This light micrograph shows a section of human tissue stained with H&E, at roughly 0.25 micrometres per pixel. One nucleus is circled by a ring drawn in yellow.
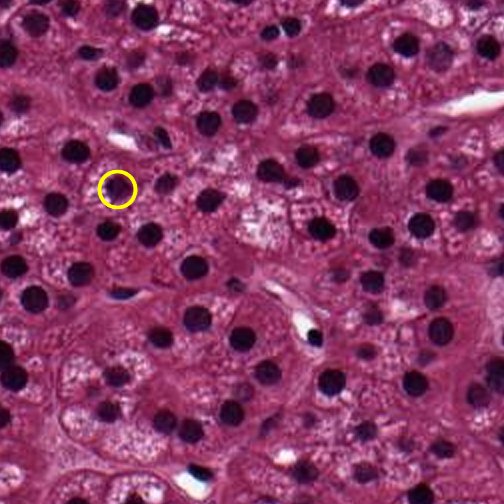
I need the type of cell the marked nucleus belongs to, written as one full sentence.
The cell containing the marked nucleus is an adrenal cortical cell.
